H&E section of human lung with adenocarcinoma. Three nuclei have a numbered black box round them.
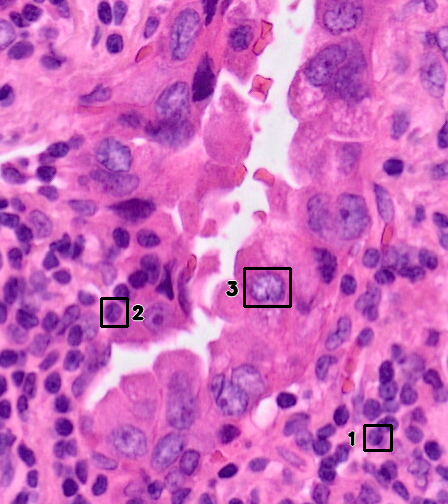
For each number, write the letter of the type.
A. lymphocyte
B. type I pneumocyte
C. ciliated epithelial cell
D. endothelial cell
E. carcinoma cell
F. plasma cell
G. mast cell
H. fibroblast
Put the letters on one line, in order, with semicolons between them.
A; A; E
